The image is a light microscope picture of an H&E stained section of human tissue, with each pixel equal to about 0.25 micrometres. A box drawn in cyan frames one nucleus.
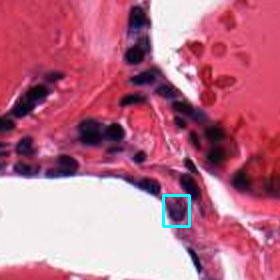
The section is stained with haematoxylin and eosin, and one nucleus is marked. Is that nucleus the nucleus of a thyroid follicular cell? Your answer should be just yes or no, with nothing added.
yes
